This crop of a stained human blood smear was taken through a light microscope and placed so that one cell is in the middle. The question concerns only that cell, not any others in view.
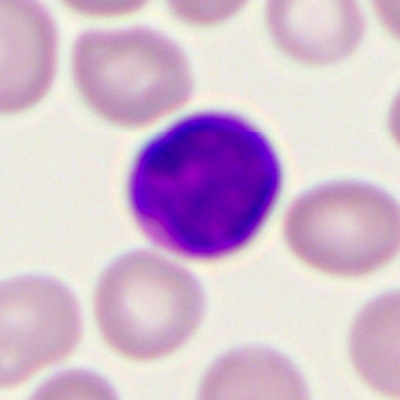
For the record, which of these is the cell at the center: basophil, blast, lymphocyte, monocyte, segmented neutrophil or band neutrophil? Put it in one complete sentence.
Answering briefly, the cell in the middle is a blast.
